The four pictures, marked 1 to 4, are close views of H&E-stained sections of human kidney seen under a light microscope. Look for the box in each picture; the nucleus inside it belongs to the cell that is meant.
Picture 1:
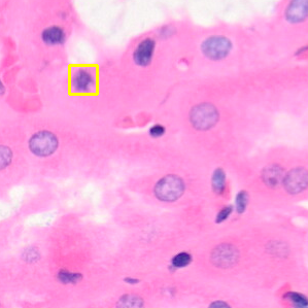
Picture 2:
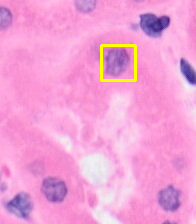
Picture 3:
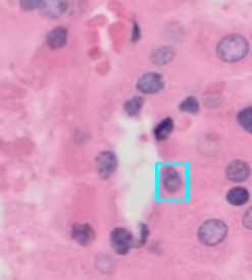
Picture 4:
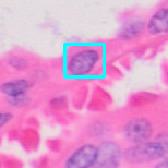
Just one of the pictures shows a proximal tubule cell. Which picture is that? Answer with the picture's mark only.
2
